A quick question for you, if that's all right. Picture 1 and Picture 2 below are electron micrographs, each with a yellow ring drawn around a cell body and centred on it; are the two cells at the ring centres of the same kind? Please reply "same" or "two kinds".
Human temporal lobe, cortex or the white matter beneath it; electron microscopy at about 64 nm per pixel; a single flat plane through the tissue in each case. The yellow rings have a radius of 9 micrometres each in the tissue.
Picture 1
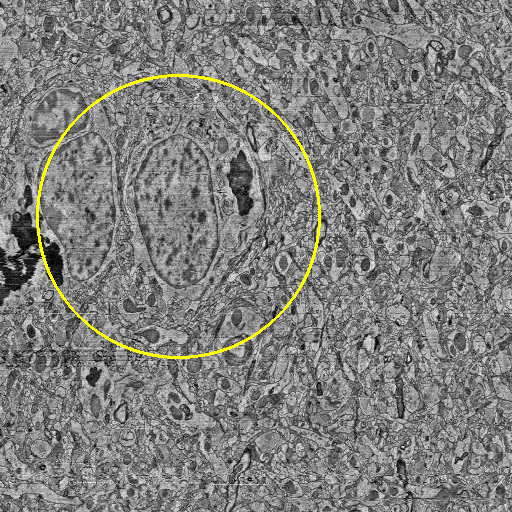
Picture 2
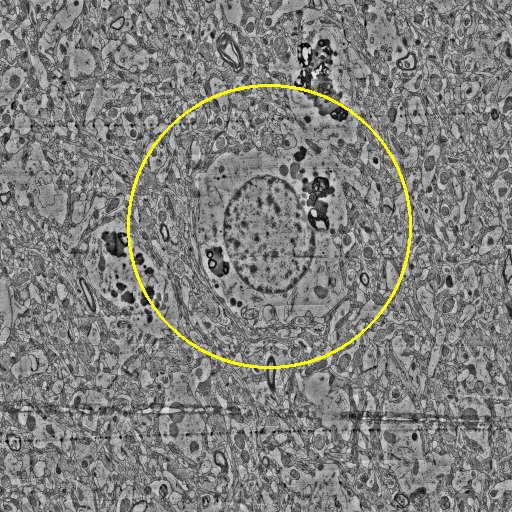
same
